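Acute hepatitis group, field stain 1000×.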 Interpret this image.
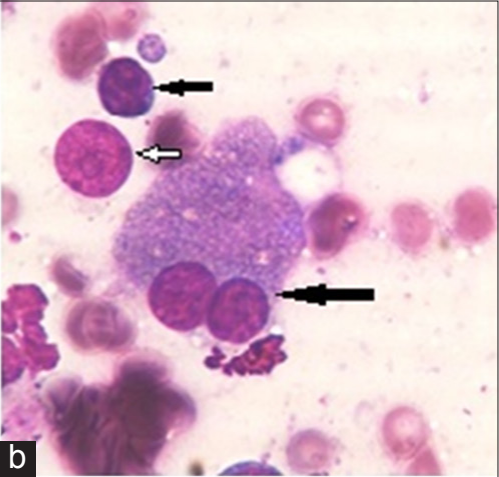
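This smear from the liver shows a large hepatocyte with two round nuclei lying side by side in its pale, granular purple cytoplasm. Near the top lies a much smaller round cell, a lymphocyte, whose dark nucleus fills almost the whole cell with only a thin rim of cytoplasm. Beside it is a round pink-purple nucleus lying free, with no cytoplasm around it. Scattered about are red blood cells and some clumped debris in the background.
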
